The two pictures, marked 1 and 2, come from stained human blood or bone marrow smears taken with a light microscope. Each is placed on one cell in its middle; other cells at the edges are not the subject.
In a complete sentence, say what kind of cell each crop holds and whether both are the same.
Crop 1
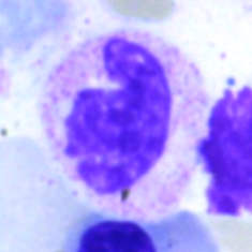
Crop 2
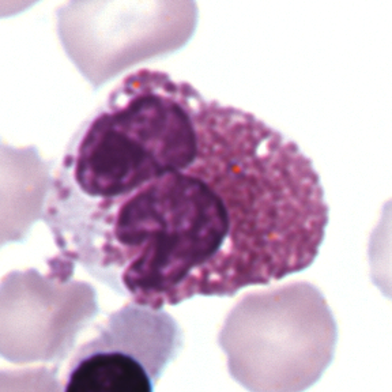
No, crop 1 represents a band neutrophil, and crop 2 represents an eosinophil.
